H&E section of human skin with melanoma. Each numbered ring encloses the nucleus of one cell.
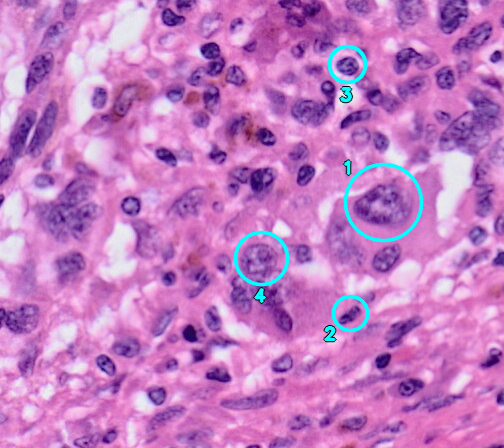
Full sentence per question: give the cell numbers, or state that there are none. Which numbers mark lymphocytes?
The cells marked with the numbers 2 and 3 are lymphocytes.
